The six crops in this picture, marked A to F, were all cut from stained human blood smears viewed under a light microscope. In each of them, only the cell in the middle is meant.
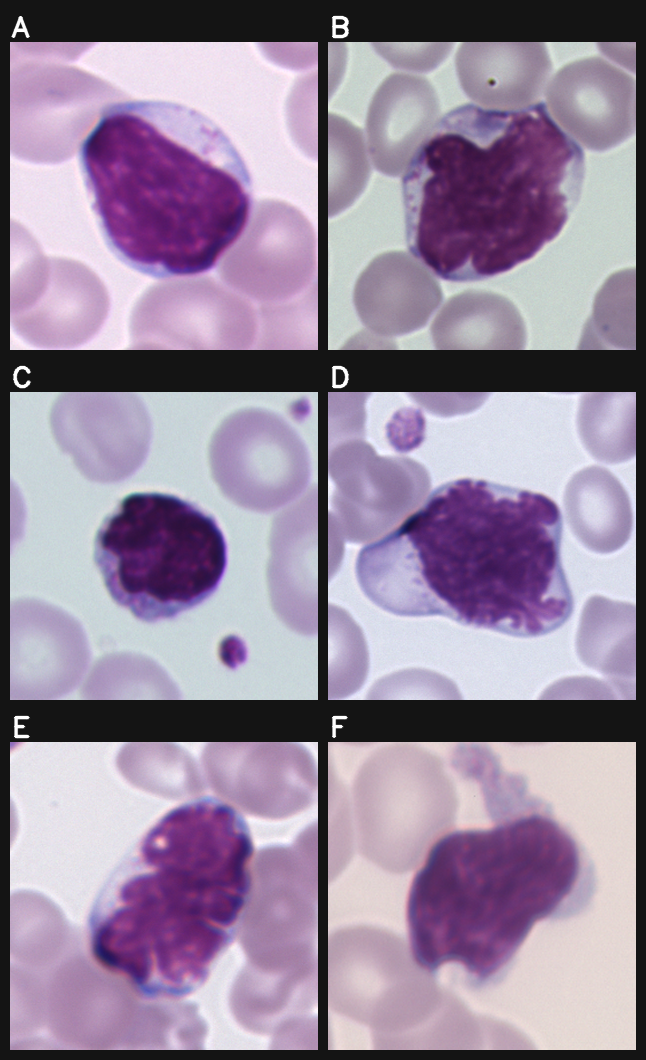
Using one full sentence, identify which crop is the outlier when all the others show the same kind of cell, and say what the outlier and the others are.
A different cell type, a typical lymphocyte, occupies crop F; the other crops show large granular lymphocytes.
